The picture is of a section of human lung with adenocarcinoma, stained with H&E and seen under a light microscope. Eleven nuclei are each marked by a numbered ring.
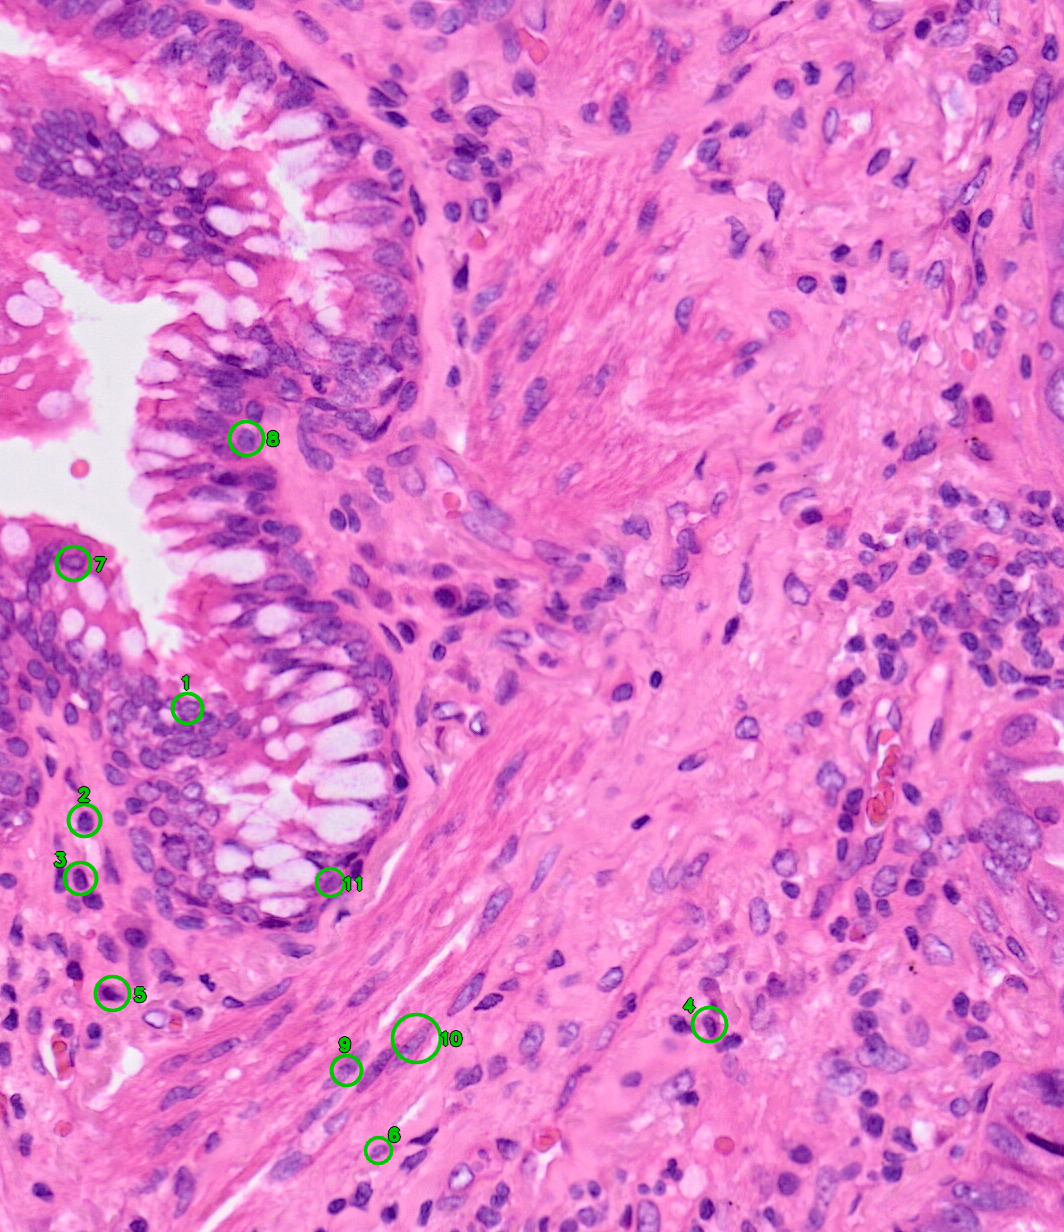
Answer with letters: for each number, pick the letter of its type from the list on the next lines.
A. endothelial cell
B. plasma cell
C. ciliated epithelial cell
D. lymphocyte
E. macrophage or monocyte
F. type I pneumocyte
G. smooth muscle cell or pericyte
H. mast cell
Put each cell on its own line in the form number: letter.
1: C
2: D
3: D
4: B
5: B
6: H
7: C
8: C
9: G
10: G
11: C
